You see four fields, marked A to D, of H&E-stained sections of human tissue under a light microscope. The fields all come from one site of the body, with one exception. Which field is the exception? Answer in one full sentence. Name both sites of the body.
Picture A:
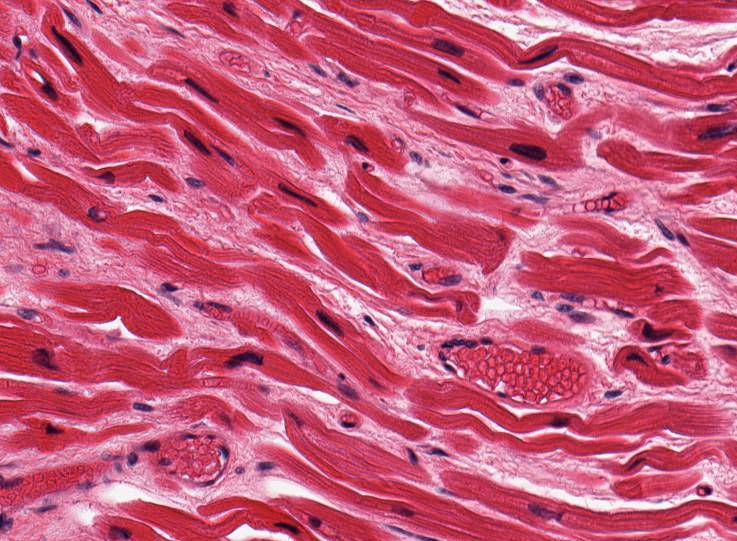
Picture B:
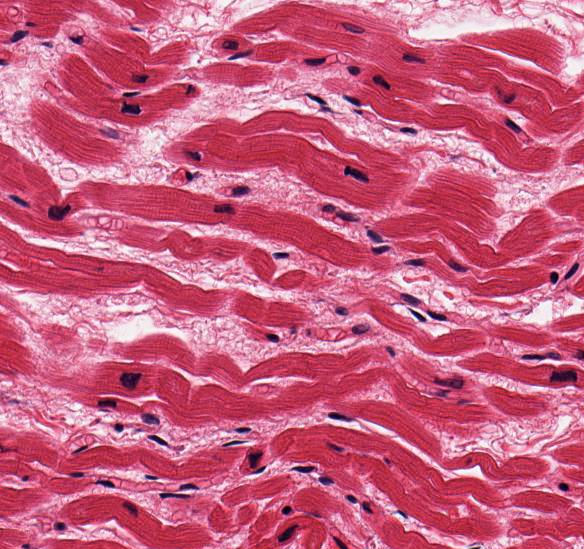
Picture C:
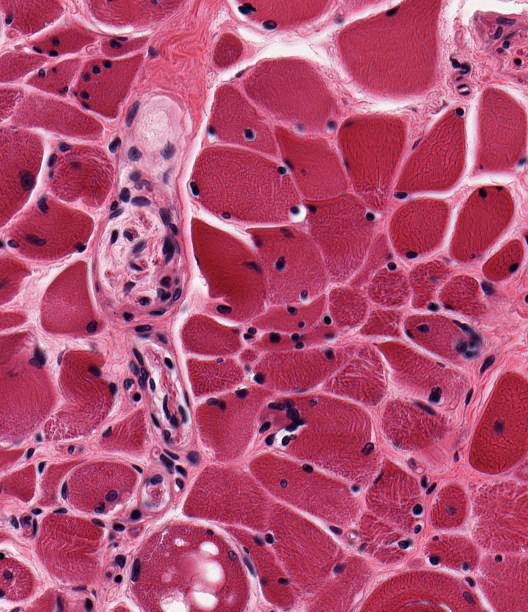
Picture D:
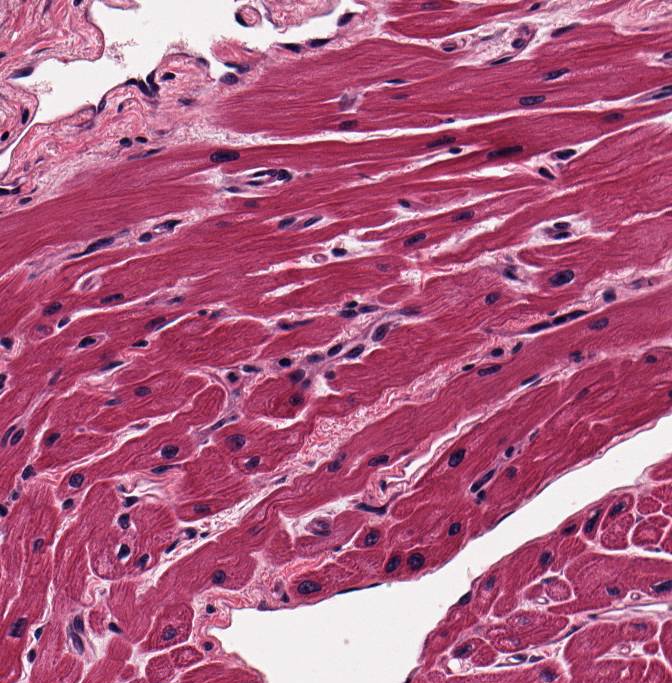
Picture C is the odd one out: it comes from skeletal muscle, while the others come from the atrial appendage of the heart.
